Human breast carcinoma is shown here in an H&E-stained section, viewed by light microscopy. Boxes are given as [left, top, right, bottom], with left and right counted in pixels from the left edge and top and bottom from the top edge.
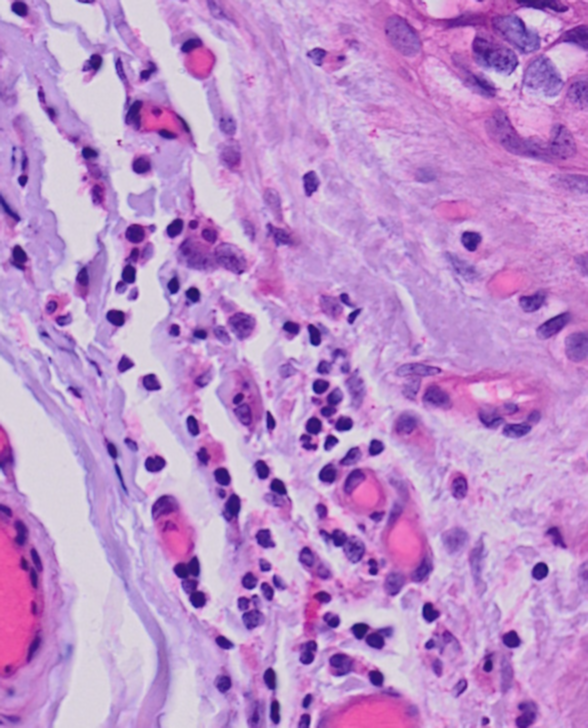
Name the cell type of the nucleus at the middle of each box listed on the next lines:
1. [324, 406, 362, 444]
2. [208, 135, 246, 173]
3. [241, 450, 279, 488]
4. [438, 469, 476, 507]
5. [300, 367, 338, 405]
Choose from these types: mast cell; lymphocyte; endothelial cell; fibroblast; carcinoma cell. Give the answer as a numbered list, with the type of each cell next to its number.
1. lymphocyte
2. fibroblast
3. lymphocyte
4. mast cell
5. lymphocyte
